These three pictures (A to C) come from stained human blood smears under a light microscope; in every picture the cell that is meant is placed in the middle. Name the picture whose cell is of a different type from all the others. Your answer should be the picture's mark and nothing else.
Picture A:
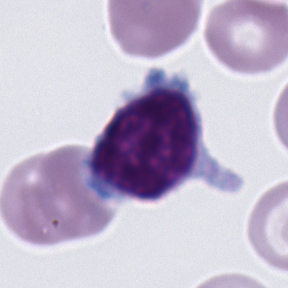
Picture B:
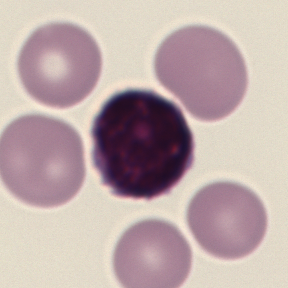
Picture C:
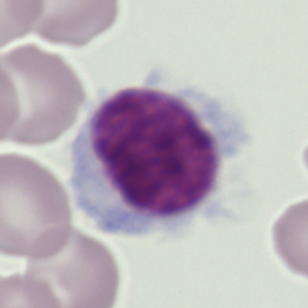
C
